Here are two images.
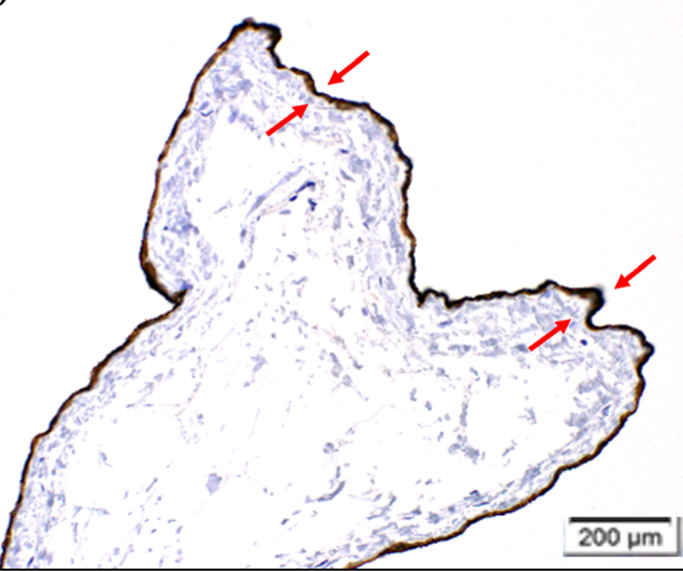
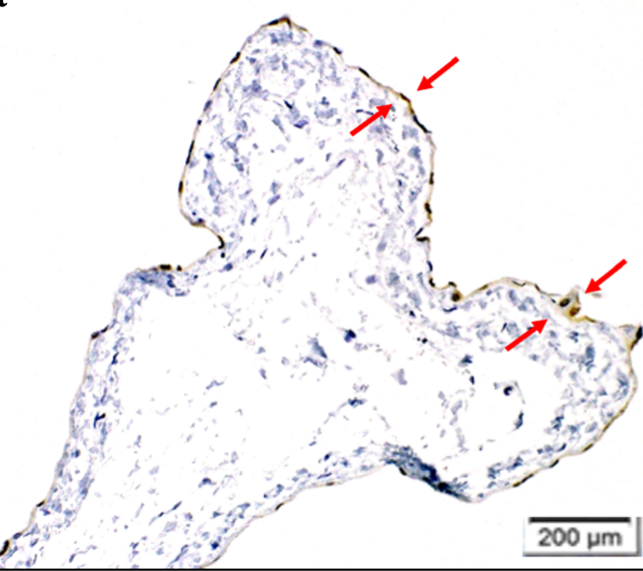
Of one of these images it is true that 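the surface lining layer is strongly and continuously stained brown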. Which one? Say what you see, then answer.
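The first image. First image: a thick dark brown band runs continuously along the whole surface lining. Second image: the surface lining shows only a thin, faint and patchy brown tint.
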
